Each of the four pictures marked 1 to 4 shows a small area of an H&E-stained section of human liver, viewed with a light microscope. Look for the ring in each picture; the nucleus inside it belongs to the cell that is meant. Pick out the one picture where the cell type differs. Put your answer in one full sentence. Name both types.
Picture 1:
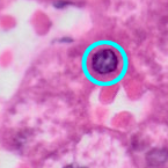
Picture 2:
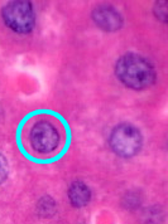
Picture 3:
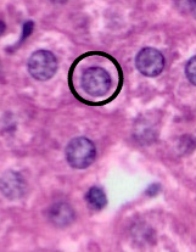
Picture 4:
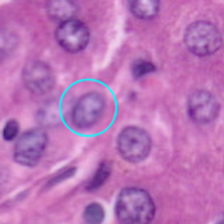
All pictures except 4 show hepatocytes; picture 4 shows a cholangiocyte.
